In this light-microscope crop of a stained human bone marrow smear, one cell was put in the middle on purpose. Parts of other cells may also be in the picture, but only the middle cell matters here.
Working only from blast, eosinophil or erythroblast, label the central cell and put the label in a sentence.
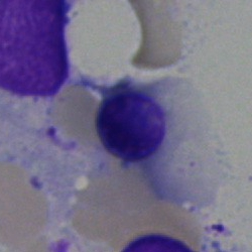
The cell nearest the centre of this crop is an erythroblast.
